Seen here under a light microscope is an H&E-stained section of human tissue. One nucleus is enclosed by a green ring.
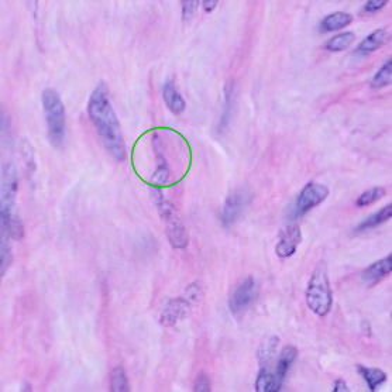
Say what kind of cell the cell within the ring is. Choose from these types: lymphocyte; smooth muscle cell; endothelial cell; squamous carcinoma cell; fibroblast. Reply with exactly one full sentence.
Speaking plainly, the cell within the ring is nothing other than a smooth muscle cell.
